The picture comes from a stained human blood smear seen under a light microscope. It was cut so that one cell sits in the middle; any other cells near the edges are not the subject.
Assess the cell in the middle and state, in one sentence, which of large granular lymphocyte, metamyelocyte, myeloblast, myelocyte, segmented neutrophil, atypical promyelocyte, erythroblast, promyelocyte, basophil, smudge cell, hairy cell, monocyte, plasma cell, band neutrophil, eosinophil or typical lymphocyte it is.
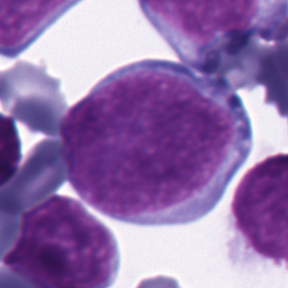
What the crop centres on is a myeloblast.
